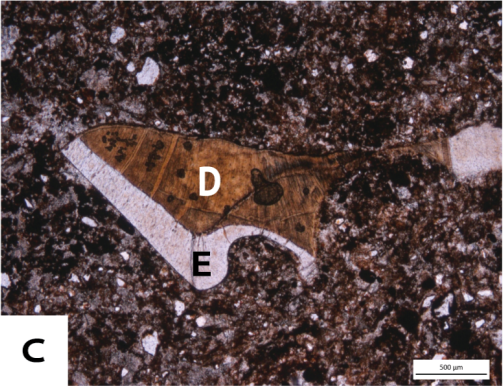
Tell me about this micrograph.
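A small tooth fragment sits in a dark, fine-grained sediment speckled with clear angular mineral grains. Most of it is translucent brown dentine with a few dark inclusions, while a clear colourless band of enamel runs along one edge and curves round at its lower end.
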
